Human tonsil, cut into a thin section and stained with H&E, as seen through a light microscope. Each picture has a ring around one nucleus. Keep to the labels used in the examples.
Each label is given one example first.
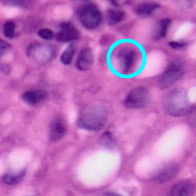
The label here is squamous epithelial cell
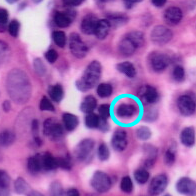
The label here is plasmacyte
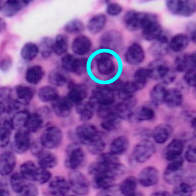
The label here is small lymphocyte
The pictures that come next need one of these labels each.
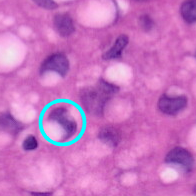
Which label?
squamous epithelial cell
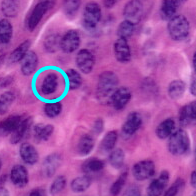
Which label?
plasmacyte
